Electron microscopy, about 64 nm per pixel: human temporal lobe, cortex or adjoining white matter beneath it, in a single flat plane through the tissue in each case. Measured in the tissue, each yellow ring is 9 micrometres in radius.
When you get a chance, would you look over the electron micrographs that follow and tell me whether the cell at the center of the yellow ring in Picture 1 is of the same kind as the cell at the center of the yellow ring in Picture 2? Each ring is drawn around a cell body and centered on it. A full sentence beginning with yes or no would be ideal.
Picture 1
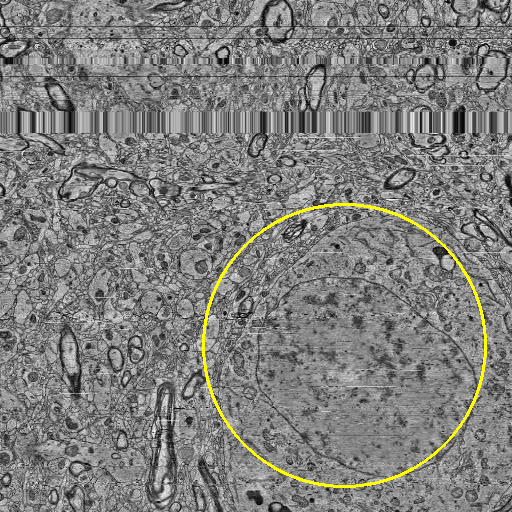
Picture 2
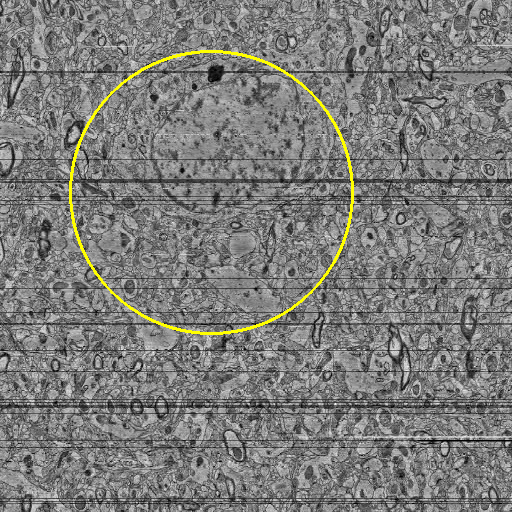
No, they are two kinds of cell.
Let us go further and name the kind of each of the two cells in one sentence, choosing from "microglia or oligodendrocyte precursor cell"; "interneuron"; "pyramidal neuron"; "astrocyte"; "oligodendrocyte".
The ring of the first picture is on a pyramidal neuron, the ring of the second on an interneuron.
